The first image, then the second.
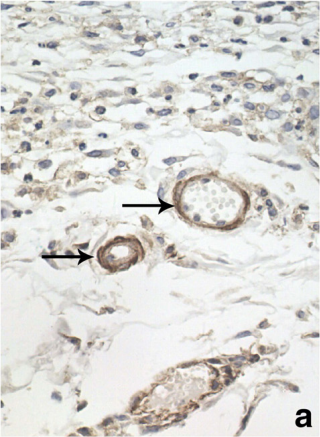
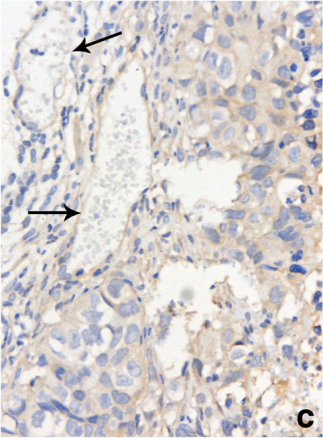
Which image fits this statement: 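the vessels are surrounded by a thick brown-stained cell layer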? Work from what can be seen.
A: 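Second image: the marked vessels have thin walls with hardly any brown staining around them. First image: the marked vessels are ringed by a thick, dark brown wall.
Answer: the first image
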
